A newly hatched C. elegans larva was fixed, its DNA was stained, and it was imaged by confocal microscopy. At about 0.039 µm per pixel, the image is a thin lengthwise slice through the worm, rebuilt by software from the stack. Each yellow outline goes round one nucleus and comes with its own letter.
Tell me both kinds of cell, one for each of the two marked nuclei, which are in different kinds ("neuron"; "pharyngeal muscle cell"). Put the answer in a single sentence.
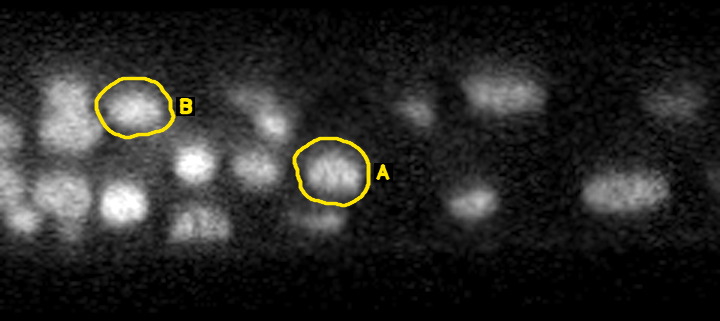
A is from a pharyngeal muscle cell, and B is from a neuron.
